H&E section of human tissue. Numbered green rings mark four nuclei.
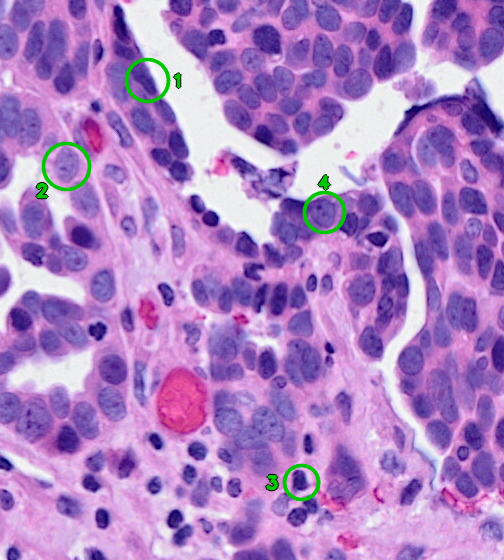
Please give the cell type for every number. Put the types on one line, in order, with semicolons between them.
carcinoma cell; carcinoma cell; lymphocyte; carcinoma cell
